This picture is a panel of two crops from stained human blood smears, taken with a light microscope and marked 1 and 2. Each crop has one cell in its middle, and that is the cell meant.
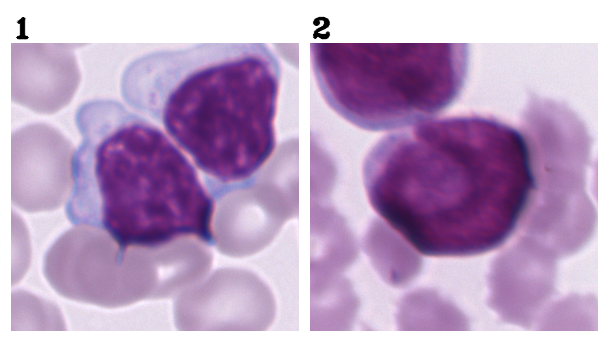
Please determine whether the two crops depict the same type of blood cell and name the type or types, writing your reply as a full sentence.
No, crop 1 is the one with a large granular lymphocyte; crop 2 has a myeloblast.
